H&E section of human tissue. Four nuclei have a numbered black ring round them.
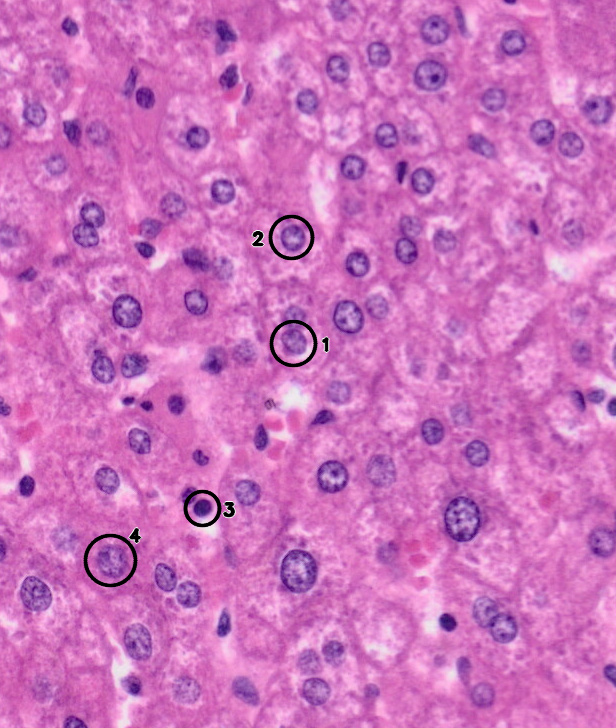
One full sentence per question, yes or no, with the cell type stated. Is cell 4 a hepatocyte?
Yes, number 4 is assigned to a cell that is a hepatocyte.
